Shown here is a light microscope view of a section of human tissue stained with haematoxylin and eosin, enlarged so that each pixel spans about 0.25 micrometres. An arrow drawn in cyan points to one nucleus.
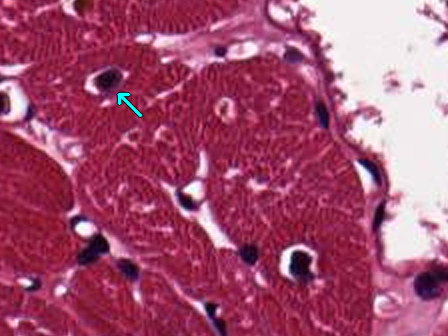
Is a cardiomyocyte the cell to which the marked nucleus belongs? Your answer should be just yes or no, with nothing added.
yes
